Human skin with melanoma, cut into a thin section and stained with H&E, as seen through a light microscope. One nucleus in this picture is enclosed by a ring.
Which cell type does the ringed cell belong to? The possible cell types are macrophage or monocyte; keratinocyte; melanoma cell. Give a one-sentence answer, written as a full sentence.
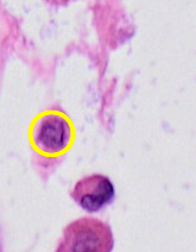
In the tissue at hand, the ringed cell is a macrophage or monocyte.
